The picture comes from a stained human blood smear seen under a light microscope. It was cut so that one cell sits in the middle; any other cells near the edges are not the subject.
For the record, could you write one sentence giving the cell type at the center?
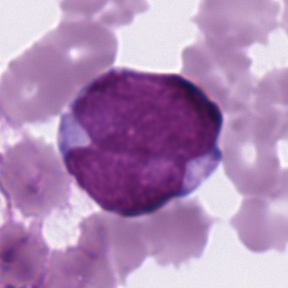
The centrally positioned cell in the crop represents a myeloblast.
